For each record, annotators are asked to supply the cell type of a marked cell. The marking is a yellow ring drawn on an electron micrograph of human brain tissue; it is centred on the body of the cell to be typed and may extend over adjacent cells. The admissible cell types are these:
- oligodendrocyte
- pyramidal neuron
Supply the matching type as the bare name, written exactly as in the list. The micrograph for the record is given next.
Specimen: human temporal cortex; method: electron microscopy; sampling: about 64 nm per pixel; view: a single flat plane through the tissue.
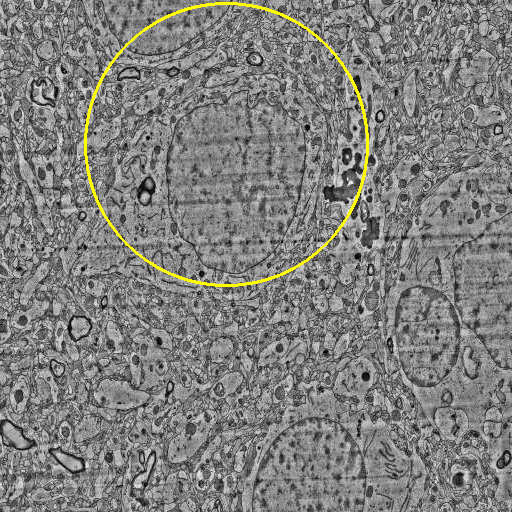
pyramidal neuron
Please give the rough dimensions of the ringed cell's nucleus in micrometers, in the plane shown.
About 12 by 9 micrometres in this plane.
